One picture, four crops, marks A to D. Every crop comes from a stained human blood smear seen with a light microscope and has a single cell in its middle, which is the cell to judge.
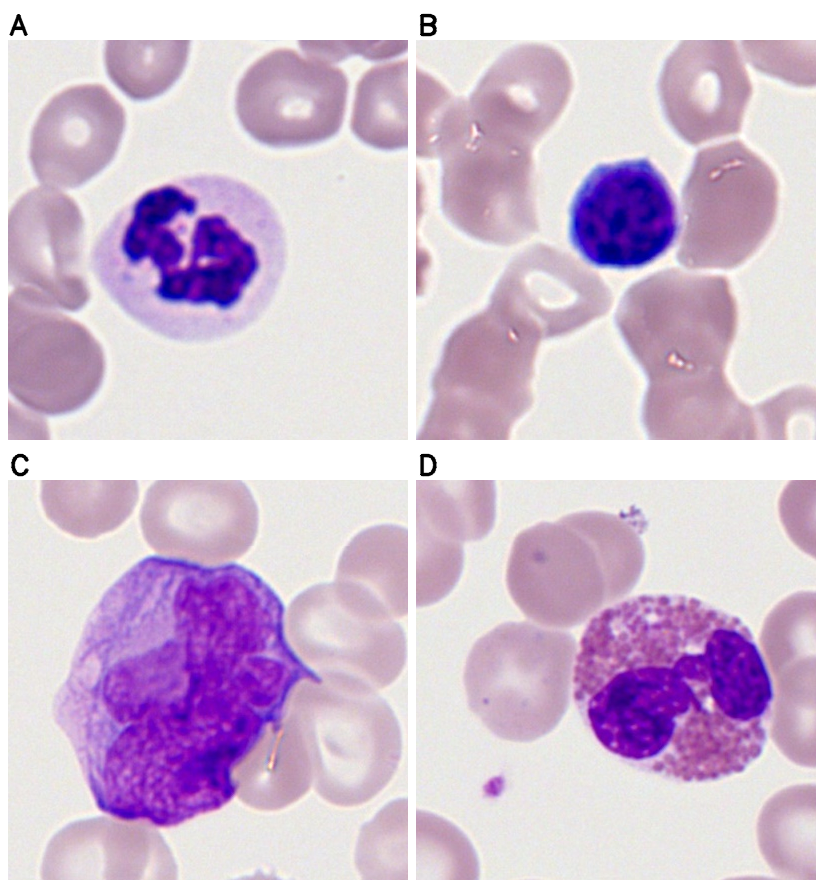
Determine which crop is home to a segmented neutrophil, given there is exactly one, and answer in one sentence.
On review of the set, crop A is the one showing a segmented neutrophil.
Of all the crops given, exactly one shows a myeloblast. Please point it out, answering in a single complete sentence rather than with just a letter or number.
In this set, crop C is the one showing a myeloblast.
